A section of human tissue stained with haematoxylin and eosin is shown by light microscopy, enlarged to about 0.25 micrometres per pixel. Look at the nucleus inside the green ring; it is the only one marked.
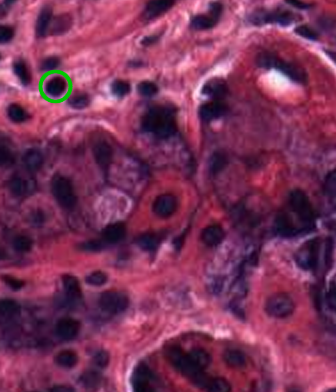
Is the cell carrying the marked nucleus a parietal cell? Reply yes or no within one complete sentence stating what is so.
No, it is a supporting cell, not a parietal cell, to which the marked nucleus belongs.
